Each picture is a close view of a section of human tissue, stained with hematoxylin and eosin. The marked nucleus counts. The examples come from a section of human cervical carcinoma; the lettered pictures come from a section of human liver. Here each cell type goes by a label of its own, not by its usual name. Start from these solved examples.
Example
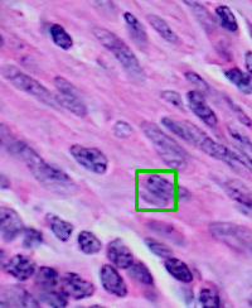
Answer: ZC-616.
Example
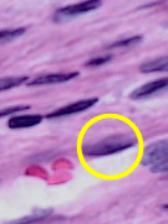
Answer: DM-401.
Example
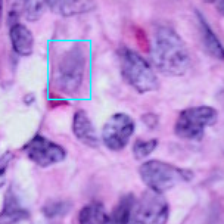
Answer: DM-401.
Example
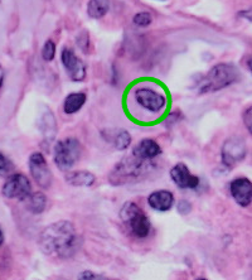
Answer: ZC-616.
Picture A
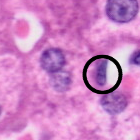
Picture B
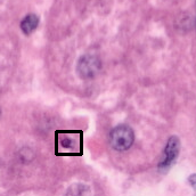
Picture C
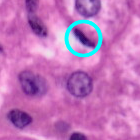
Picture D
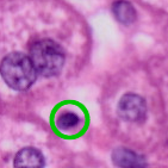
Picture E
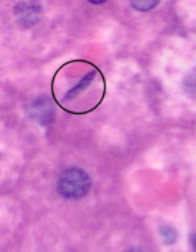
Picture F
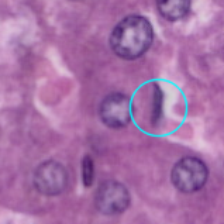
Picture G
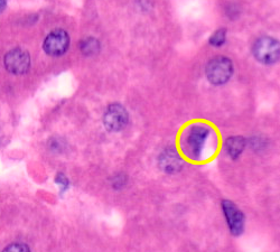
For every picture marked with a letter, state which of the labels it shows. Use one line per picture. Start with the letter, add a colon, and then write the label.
A: DM-401.
B: ZC-616.
C: DM-401.
D: ZC-616.
E: DM-401.
F: DM-401.
G: DM-401.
